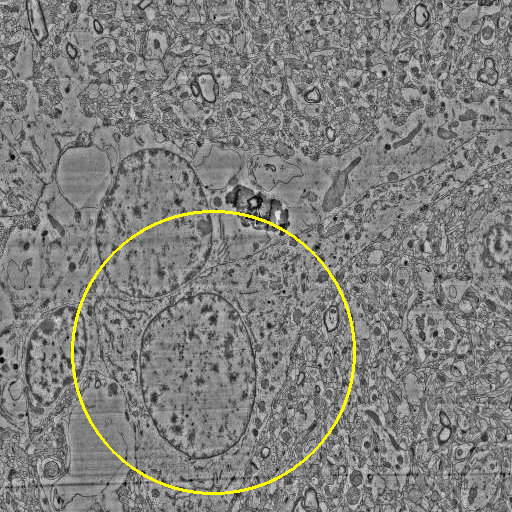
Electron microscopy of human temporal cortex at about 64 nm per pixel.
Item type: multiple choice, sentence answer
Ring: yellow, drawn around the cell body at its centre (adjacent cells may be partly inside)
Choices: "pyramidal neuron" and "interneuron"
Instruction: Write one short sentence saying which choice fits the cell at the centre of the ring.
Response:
This ring is drawn around a pyramidal neuron.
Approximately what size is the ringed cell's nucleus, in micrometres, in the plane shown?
Roughly 11 by 7 micrometres is the size of the nucleus in this plane.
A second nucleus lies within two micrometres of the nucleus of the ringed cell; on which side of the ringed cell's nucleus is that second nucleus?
The second nucleus sits above it.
